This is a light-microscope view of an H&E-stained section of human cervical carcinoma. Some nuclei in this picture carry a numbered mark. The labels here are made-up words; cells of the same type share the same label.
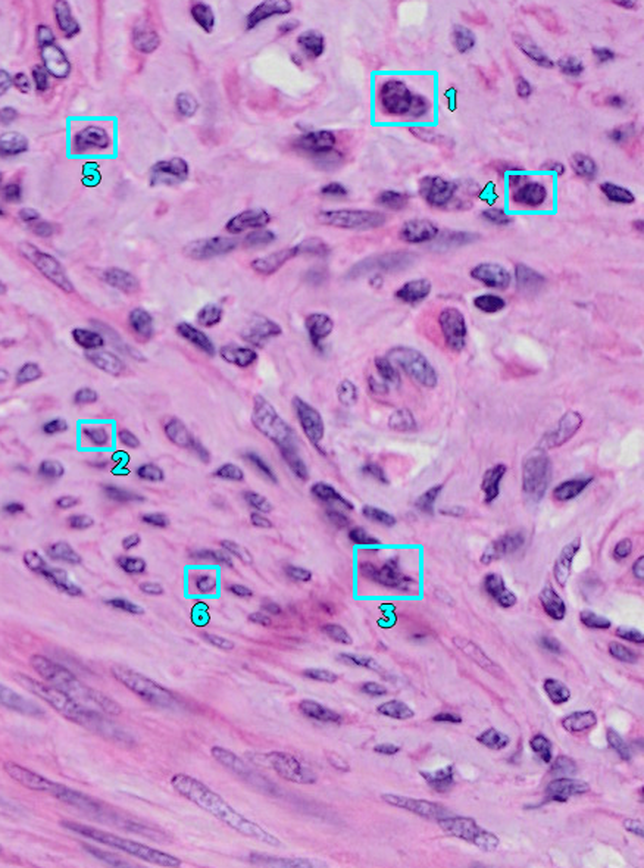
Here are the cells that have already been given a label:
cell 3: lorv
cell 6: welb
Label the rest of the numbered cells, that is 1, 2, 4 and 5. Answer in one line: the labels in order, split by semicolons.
lorv; welb; lorv; lorv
